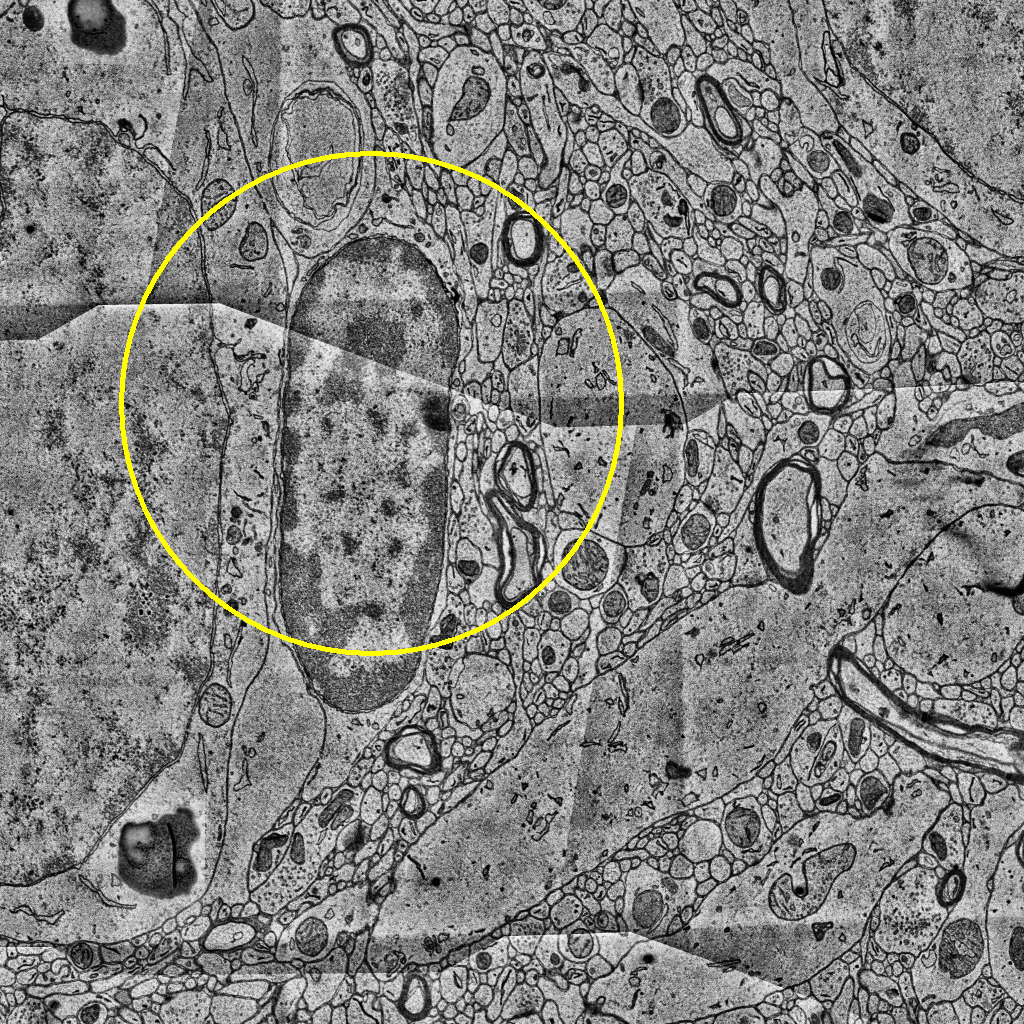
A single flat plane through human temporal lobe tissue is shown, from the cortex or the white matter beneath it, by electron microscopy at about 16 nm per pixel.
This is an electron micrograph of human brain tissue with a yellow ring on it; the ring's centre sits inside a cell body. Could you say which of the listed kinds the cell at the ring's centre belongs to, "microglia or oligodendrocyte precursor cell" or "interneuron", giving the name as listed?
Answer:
microglia or oligodendrocyte precursor cell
